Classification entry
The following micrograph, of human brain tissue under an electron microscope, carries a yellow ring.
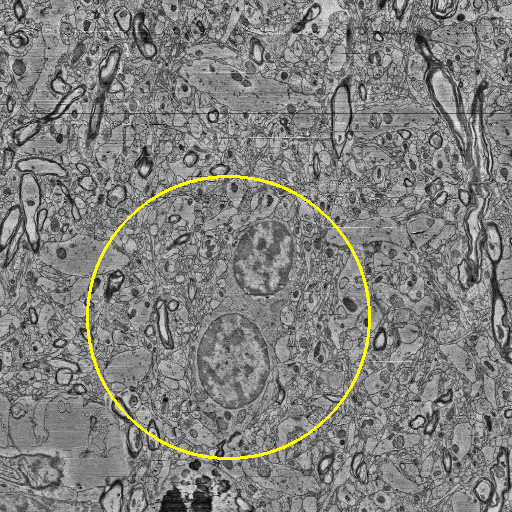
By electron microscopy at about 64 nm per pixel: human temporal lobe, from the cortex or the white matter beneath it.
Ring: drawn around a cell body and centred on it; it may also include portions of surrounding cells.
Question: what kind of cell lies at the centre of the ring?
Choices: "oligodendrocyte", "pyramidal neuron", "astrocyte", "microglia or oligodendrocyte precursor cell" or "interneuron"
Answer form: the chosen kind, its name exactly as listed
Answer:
oligodendrocyte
